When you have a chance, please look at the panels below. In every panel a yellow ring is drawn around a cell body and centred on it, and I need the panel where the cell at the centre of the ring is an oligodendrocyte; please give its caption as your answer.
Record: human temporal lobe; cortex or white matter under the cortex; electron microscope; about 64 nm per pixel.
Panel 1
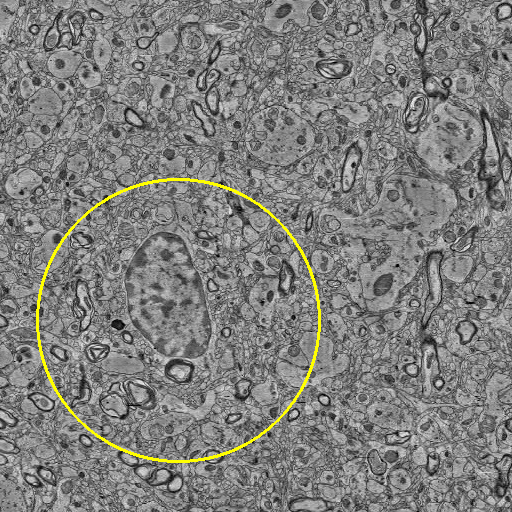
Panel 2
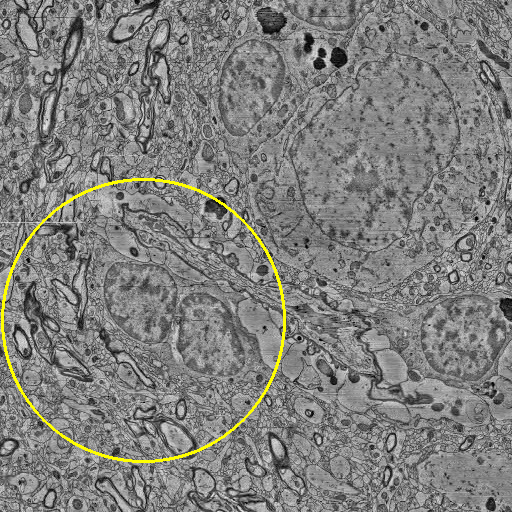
Panel 2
